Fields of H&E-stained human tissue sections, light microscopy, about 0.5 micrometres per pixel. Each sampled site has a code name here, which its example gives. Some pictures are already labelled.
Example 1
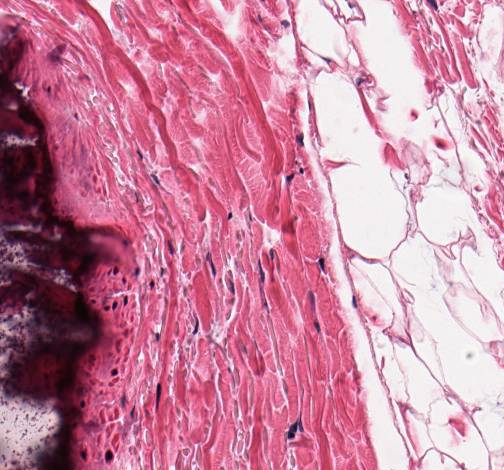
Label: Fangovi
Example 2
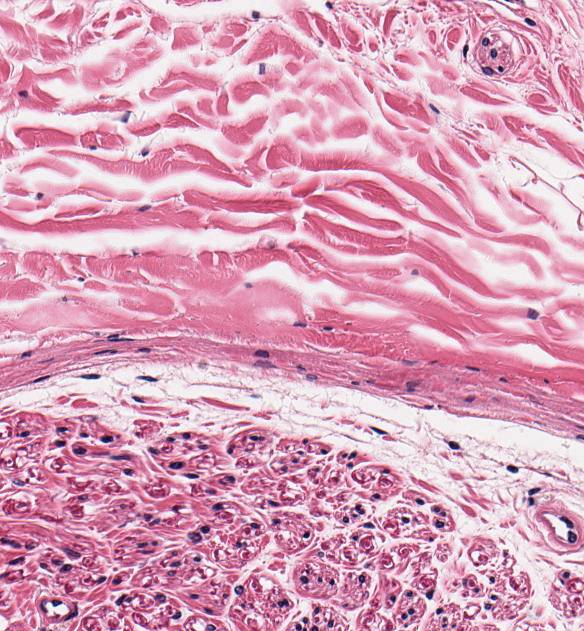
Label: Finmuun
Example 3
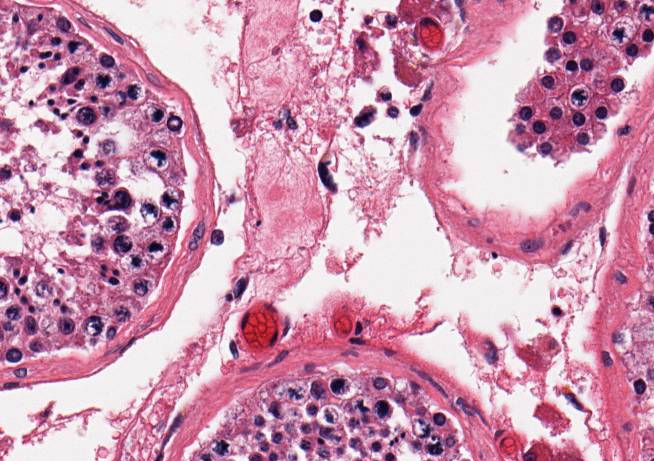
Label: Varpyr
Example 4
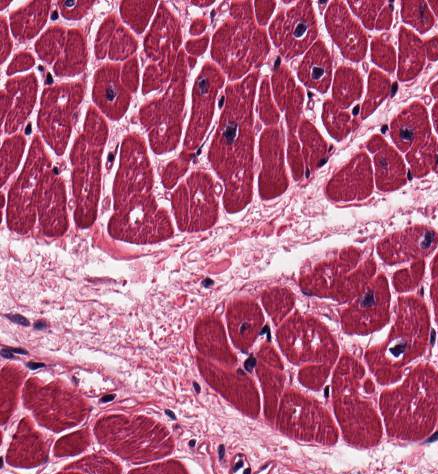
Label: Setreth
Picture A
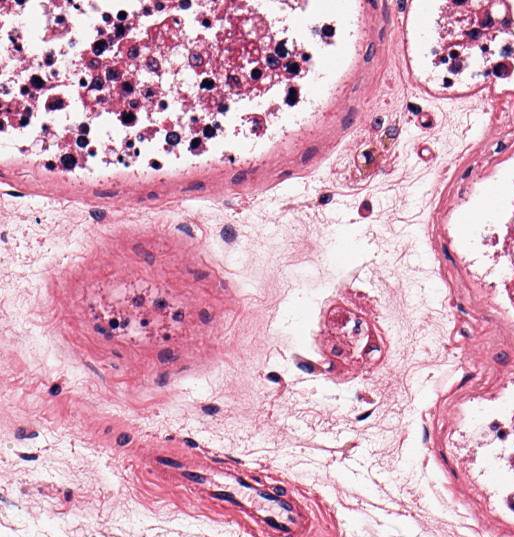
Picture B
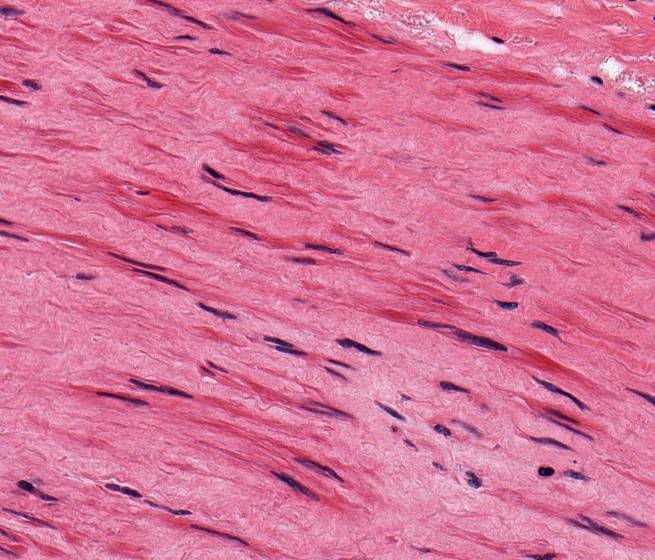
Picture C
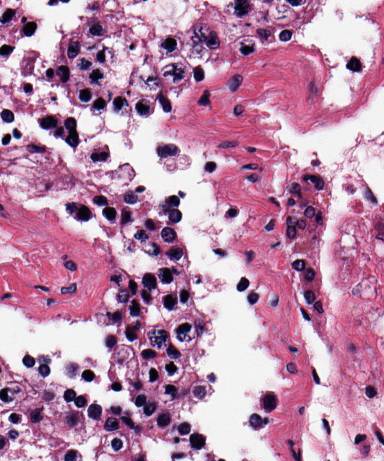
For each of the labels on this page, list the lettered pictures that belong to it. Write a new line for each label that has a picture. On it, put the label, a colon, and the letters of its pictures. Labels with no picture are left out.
Fangovi: B
Varpyr: A, C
